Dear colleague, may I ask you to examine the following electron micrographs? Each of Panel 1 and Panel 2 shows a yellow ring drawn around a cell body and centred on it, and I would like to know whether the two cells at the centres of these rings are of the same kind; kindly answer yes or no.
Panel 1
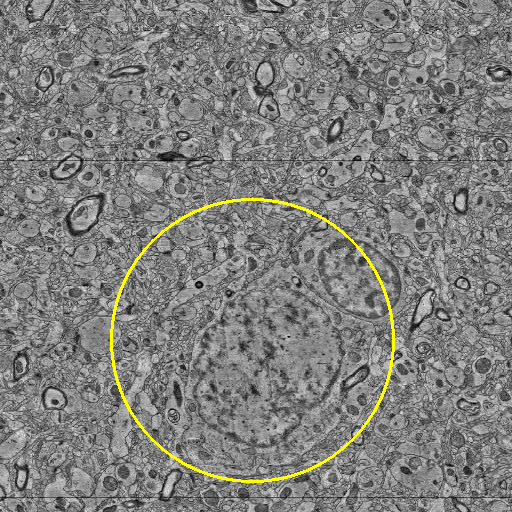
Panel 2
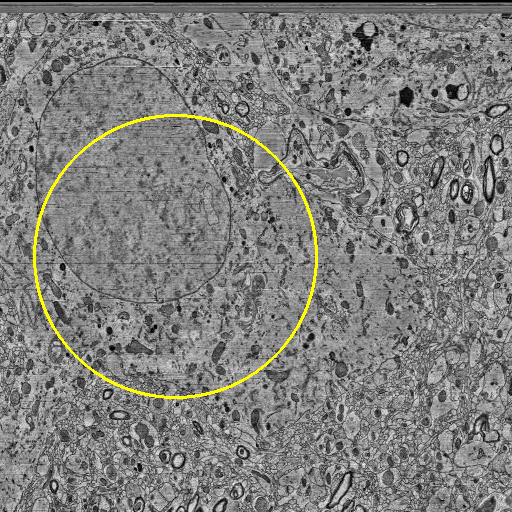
no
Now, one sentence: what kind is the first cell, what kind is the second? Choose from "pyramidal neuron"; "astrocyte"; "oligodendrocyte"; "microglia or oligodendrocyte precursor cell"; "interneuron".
The first picture has an interneuron at its ring centre, and the second has a pyramidal neuron.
